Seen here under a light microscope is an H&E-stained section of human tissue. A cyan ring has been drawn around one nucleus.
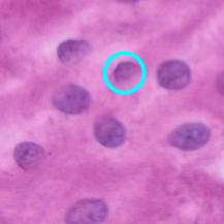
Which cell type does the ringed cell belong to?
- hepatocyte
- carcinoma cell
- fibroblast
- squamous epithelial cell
squamous epithelial cell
